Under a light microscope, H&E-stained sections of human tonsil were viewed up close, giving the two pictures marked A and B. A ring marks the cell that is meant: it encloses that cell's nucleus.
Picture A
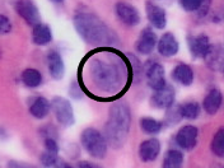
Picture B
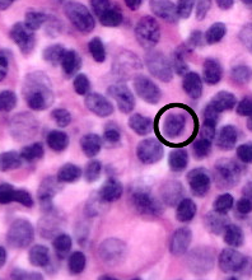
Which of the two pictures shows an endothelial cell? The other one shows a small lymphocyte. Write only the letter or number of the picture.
A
